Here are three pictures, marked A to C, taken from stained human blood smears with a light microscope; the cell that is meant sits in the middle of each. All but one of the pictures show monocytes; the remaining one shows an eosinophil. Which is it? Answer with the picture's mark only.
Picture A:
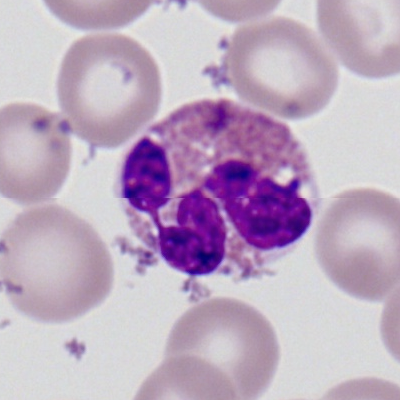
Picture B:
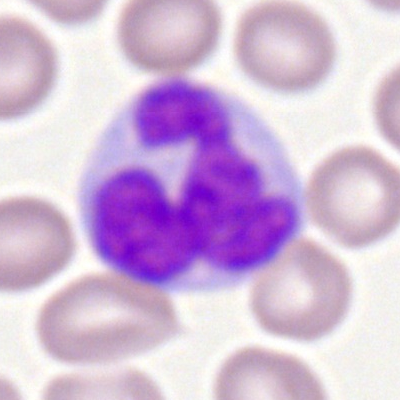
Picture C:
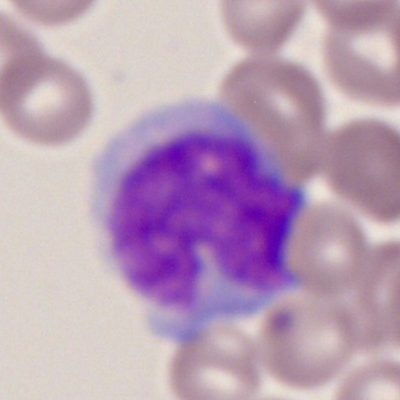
A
